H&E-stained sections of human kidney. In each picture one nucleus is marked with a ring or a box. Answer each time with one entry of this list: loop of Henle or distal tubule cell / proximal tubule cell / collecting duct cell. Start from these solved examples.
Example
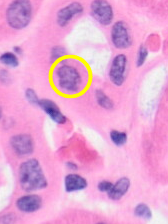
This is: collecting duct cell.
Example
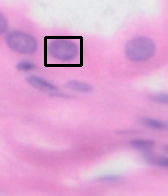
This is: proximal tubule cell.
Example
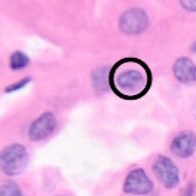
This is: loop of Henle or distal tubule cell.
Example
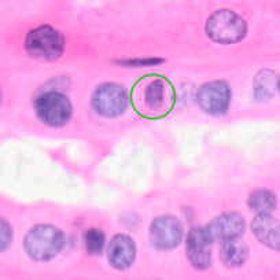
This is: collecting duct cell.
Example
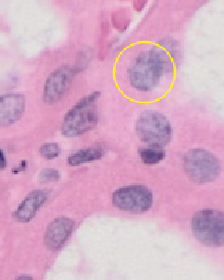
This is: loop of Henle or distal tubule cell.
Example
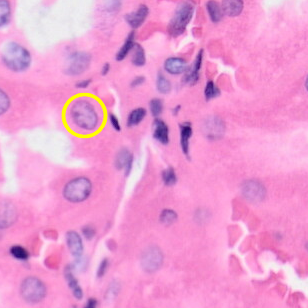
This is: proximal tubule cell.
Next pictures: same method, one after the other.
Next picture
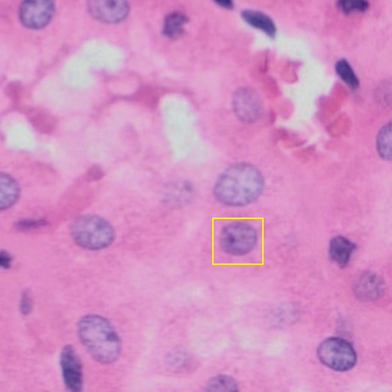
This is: proximal tubule cell.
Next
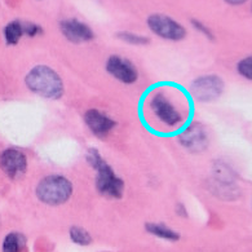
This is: collecting duct cell.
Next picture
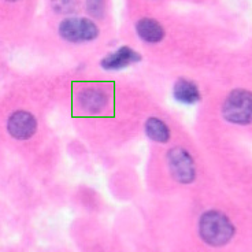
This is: proximal tubule cell.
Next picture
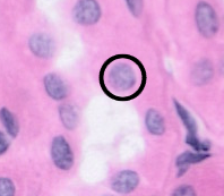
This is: loop of Henle or distal tubule cell.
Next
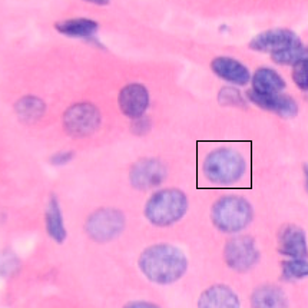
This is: loop of Henle or distal tubule cell.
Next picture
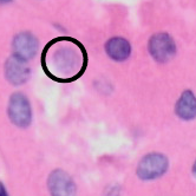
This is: loop of Henle or distal tubule cell.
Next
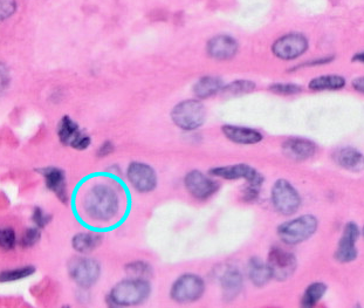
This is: collecting duct cell.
